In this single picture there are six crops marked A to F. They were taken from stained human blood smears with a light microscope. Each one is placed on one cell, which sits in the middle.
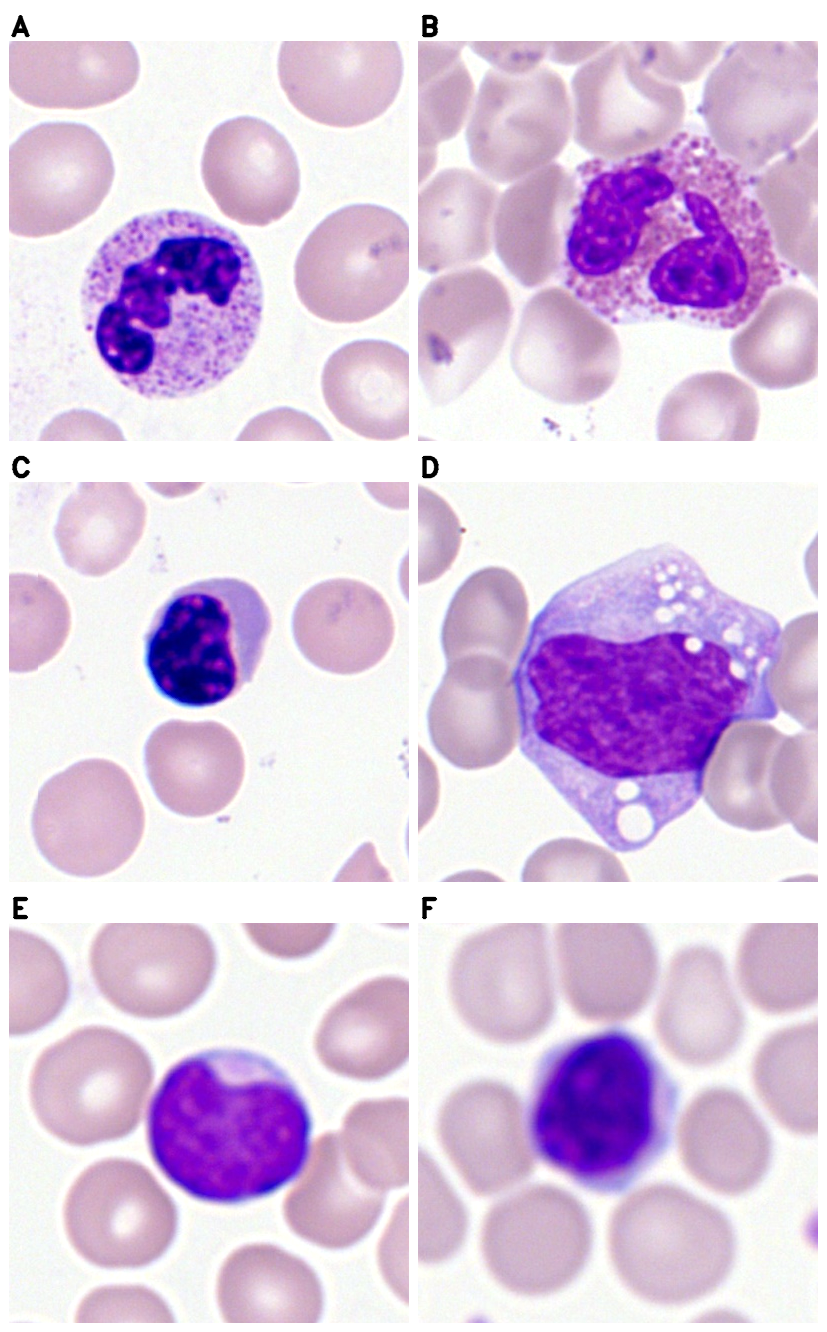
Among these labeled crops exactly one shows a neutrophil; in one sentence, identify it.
Crop A is the single crop that shows a neutrophil.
